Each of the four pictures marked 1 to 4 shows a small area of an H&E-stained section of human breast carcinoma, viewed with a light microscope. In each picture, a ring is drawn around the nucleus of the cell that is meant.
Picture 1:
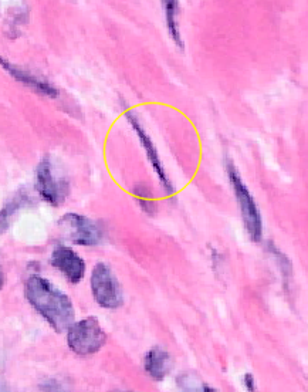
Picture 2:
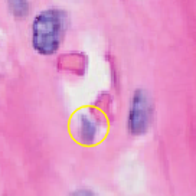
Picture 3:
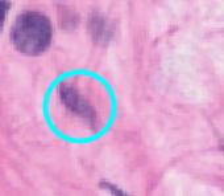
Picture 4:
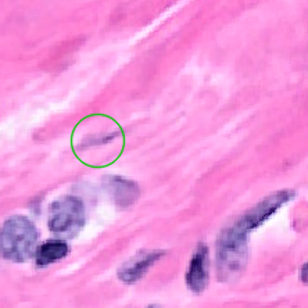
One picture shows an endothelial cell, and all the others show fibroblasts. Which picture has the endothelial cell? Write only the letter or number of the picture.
2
